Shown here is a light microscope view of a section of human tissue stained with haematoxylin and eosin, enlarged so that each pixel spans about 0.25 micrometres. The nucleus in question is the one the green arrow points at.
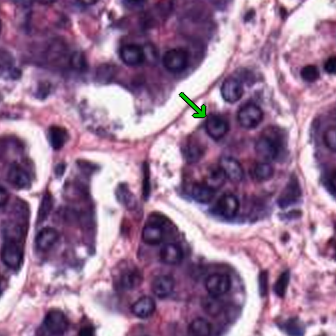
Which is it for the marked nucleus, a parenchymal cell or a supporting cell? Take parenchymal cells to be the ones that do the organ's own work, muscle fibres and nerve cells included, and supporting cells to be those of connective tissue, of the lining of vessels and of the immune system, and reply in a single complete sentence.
Within a parenchymal cell, namely a pancreatic acinar cell, sits the marked nucleus.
